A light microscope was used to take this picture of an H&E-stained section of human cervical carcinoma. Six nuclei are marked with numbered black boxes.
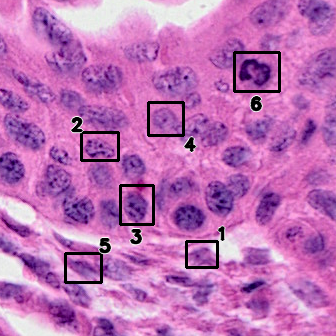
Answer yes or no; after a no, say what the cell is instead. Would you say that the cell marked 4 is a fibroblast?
No, it is a squamous carcinoma cell.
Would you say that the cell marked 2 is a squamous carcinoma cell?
Yes.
